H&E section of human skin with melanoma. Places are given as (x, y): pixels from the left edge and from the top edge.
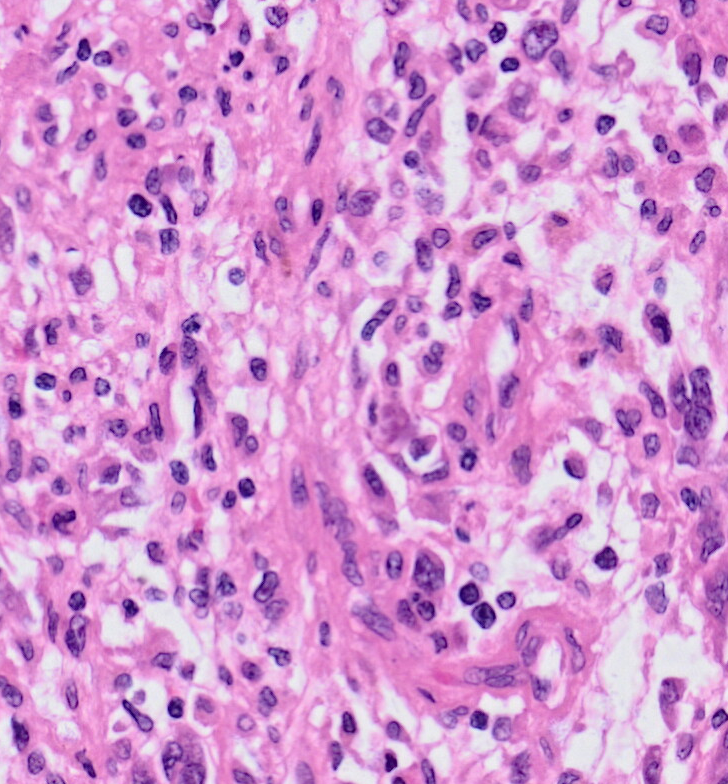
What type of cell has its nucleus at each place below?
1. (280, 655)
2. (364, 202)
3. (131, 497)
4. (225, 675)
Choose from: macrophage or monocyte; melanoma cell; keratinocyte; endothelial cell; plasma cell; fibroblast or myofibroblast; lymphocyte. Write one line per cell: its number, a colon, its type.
1: lymphocyte
2: melanoma cell
3: melanoma cell
4: macrophage or monocyte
